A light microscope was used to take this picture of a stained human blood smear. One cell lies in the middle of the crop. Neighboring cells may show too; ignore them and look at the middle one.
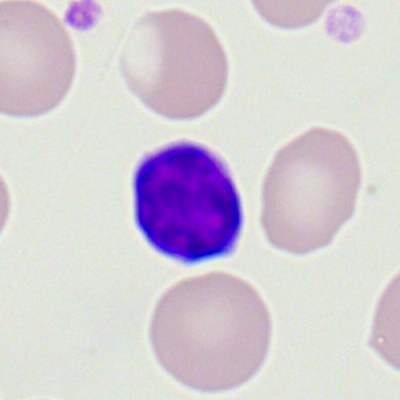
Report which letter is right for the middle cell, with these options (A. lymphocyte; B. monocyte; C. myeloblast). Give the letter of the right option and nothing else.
A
